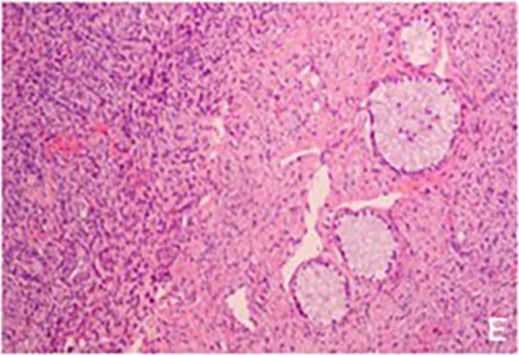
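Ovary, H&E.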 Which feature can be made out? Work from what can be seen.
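Annular tubules. Several small round ring-shaped nests lie in a dense cellular background. Each ring has a pale centre with cells arranged around it.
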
